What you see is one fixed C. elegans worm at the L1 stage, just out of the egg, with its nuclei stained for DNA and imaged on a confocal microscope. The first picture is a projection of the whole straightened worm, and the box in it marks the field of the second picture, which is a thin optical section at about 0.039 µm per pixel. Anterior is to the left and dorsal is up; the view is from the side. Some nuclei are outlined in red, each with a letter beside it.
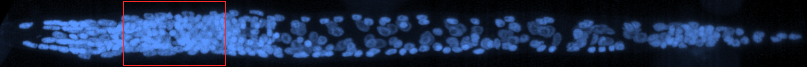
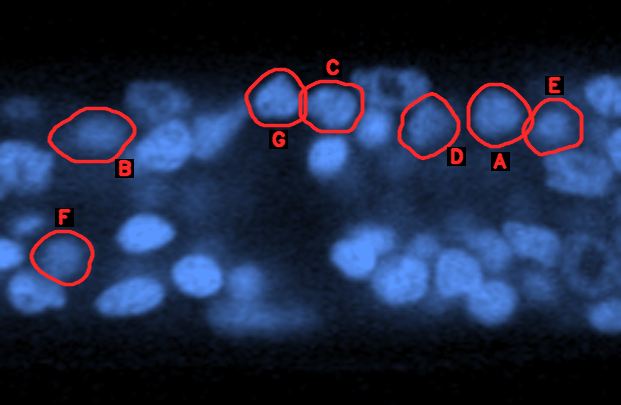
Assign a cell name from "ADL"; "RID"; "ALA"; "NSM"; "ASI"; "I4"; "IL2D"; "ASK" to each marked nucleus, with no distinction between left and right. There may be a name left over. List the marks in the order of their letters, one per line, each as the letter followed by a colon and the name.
A: ADL
B: IL2D
C: ALA
D: ASK
E: ASI
F: NSM
G: RID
